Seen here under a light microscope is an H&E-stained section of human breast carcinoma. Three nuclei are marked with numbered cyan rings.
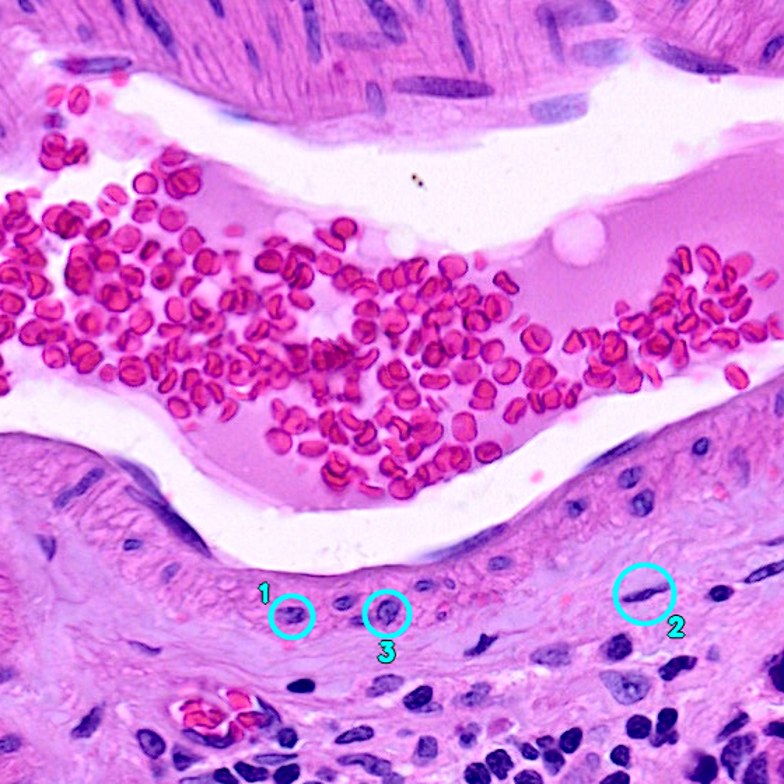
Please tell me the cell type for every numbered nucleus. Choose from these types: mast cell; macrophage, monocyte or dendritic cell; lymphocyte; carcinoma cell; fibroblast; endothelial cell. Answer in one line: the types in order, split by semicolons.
endothelial cell; fibroblast; endothelial cell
